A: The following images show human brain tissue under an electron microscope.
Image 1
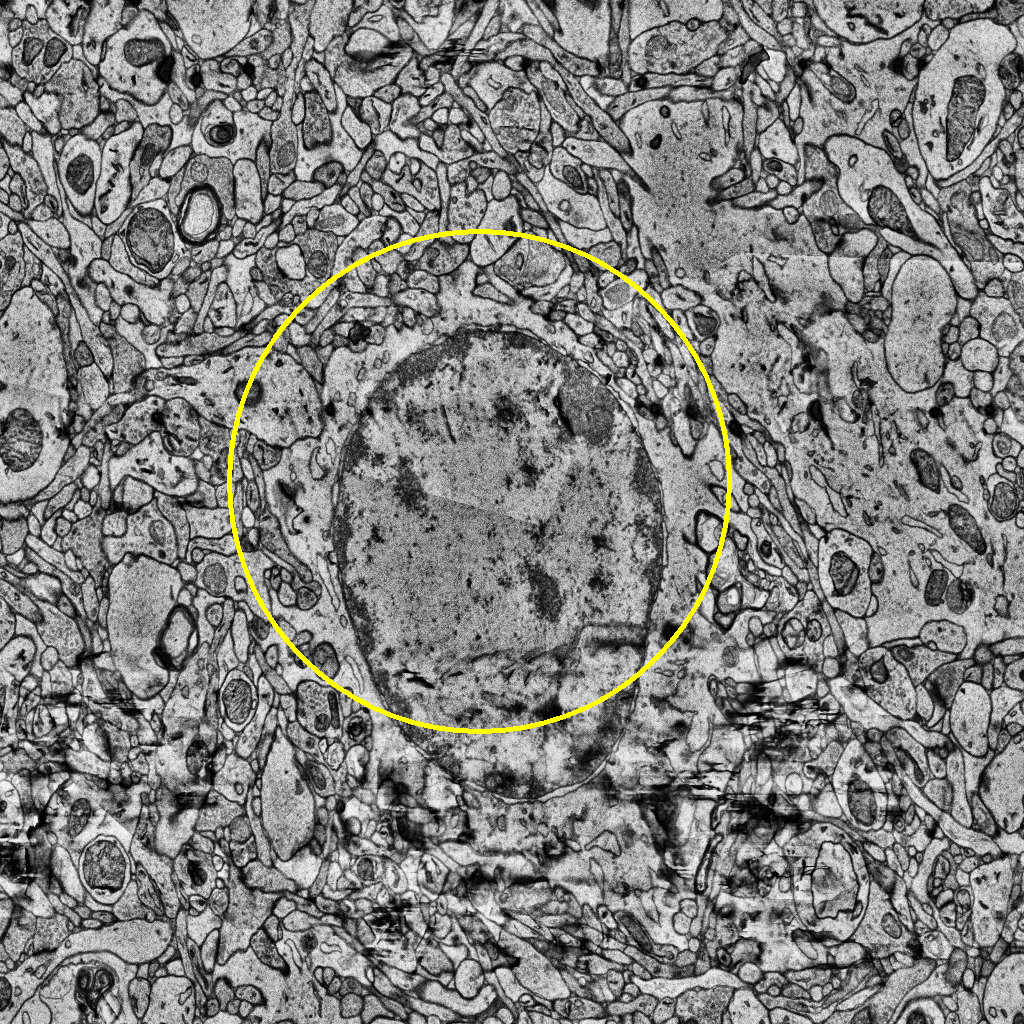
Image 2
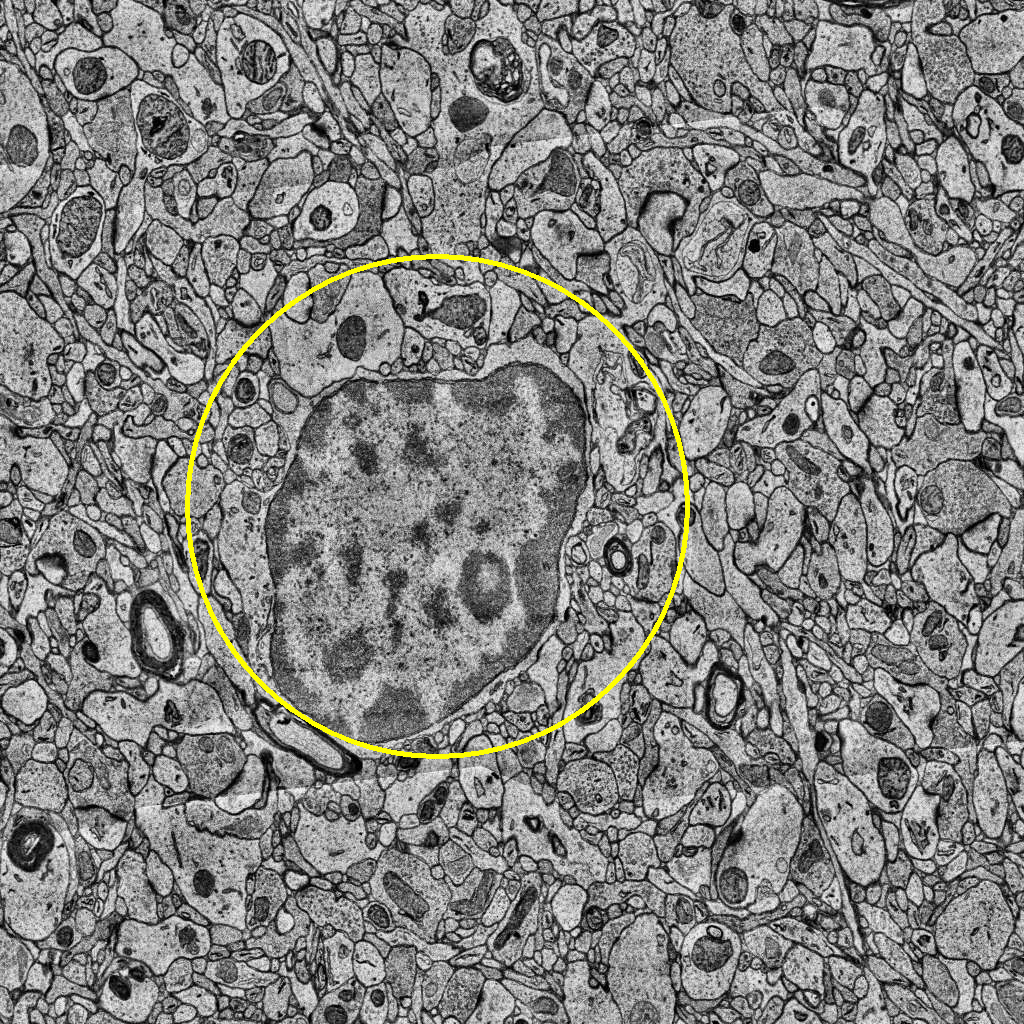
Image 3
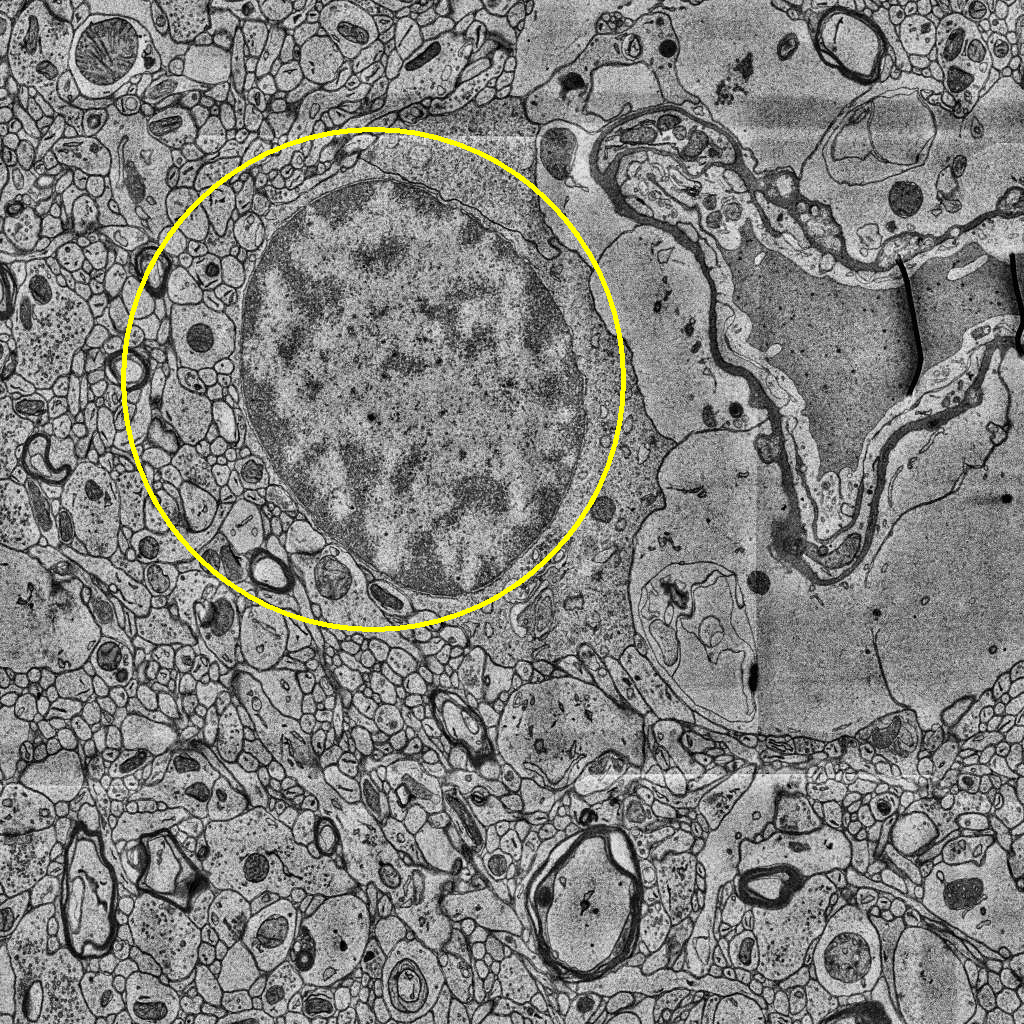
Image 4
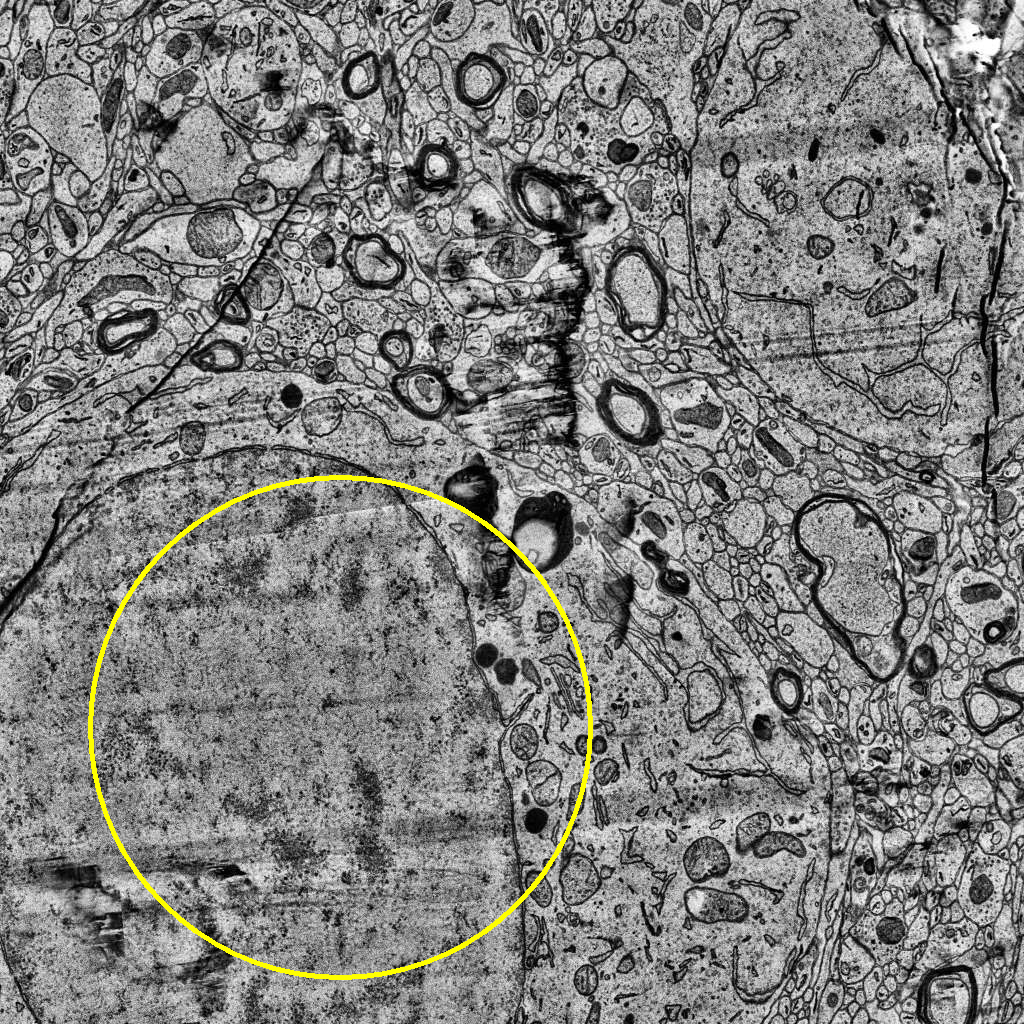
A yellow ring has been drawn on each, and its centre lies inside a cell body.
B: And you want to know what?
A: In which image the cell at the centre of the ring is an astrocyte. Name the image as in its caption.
Image 1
